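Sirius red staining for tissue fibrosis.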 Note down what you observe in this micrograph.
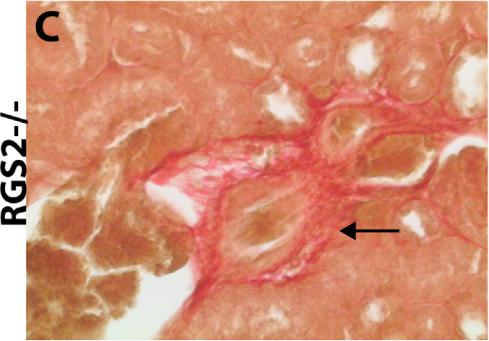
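Kidney tissue with a small vessel at the centre cut in cross-section, surrounded by a thick, irregular meshwork of bright red fibres that extends outward between neighbouring structures, forming a broad perivascular band. Around it lie cross-sections of renal tubules with pale orange-pink cytoplasm and small white lumina. Thin red lines outline the tubules elsewhere, far thinner than the band around the vessel. At the lower left, tubules are filled with dark brown material. White clefts and spaces are scattered through the section.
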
